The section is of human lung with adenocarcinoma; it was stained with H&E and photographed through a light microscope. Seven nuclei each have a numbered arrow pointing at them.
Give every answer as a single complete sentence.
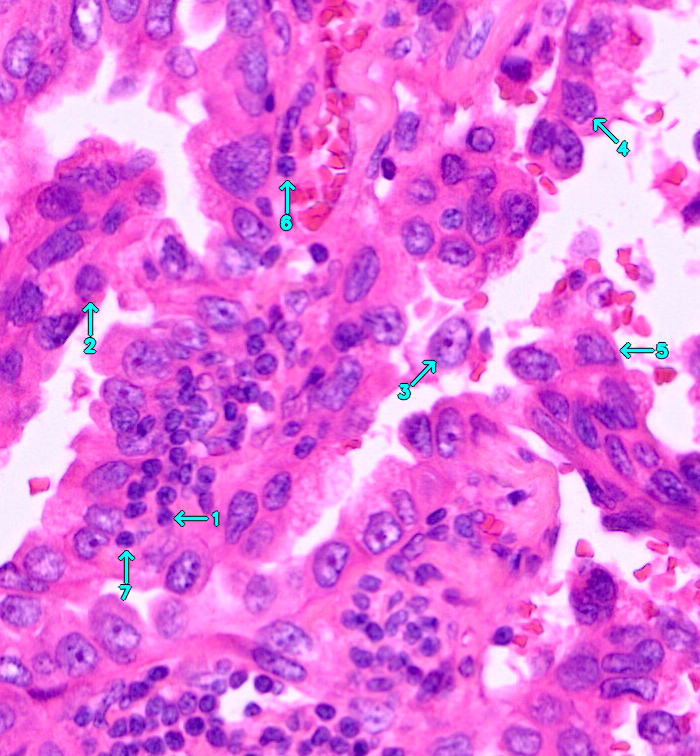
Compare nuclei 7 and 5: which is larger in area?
It is nucleus 5, which covers about 4 times the area of nucleus 7.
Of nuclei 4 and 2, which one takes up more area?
Nucleus 4 is the larger one, covering about 1.5 times the area of nucleus 2.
